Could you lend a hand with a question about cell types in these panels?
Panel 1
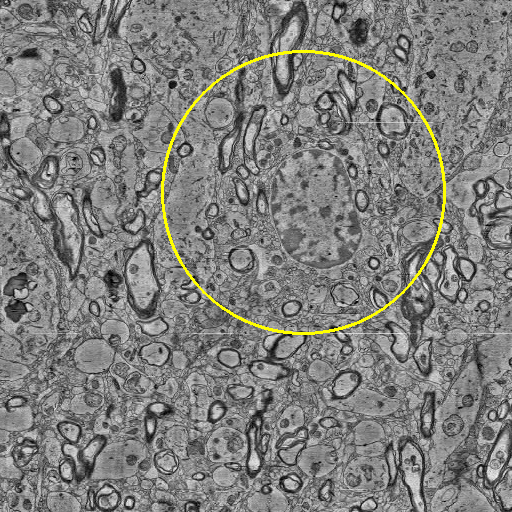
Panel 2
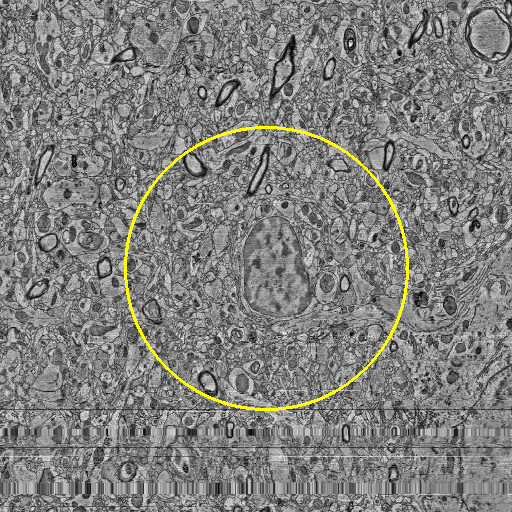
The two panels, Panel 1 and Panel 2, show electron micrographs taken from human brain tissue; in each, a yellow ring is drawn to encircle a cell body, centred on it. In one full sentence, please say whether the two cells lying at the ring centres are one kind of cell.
Yes, the cells at the ring centres in the two panels are one kind of cell.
